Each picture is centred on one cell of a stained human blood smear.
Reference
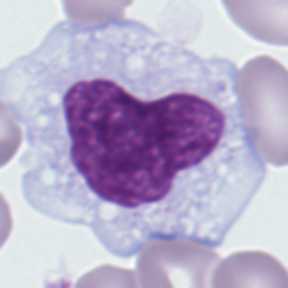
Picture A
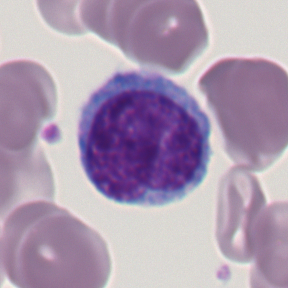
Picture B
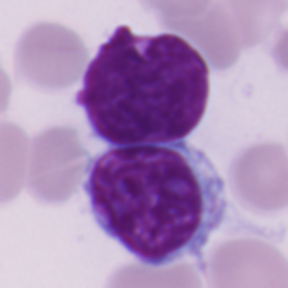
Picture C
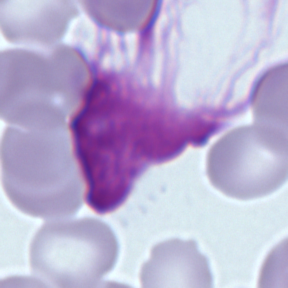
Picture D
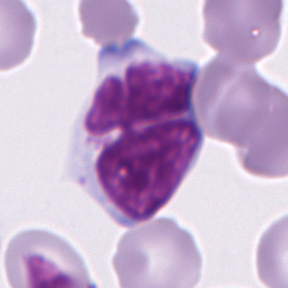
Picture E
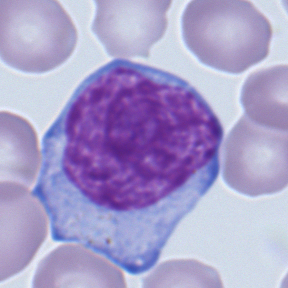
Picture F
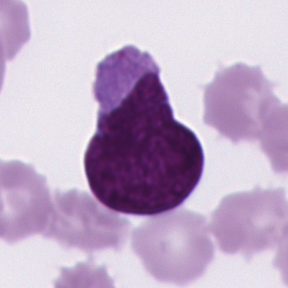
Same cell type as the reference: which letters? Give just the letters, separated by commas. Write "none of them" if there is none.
A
